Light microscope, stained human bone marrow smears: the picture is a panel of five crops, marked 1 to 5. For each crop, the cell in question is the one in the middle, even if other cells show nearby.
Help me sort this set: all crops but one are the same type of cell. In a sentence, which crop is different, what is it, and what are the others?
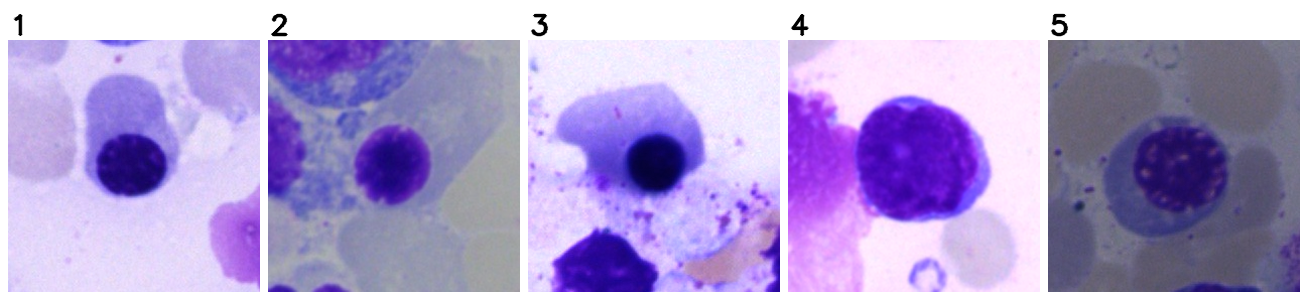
In this set the other crops all show erythroblasts, and crop 4 shows a blast.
